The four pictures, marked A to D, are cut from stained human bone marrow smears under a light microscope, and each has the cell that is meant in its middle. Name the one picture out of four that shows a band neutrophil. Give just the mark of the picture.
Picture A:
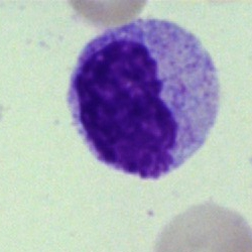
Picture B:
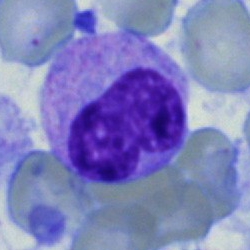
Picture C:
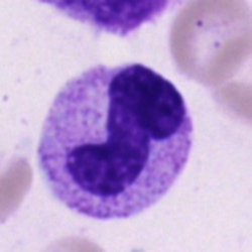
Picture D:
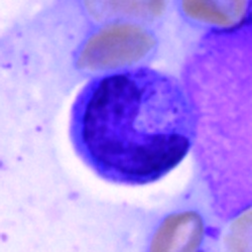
C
